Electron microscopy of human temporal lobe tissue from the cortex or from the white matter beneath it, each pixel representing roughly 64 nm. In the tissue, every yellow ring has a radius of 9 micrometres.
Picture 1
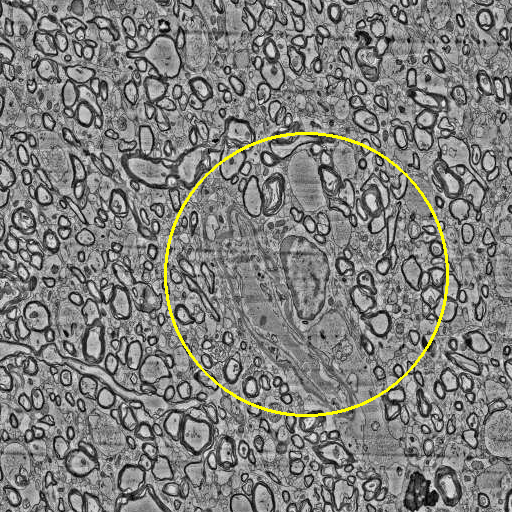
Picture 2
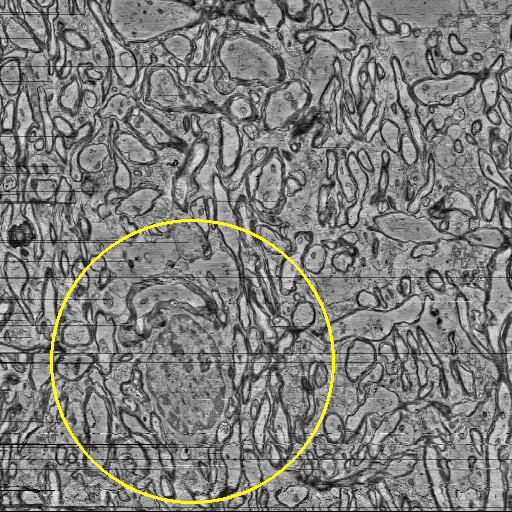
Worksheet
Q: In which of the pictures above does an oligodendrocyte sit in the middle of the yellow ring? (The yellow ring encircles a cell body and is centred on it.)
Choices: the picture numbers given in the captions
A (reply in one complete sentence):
In picture 2, the cell sitting at the centre of the ring is the match.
